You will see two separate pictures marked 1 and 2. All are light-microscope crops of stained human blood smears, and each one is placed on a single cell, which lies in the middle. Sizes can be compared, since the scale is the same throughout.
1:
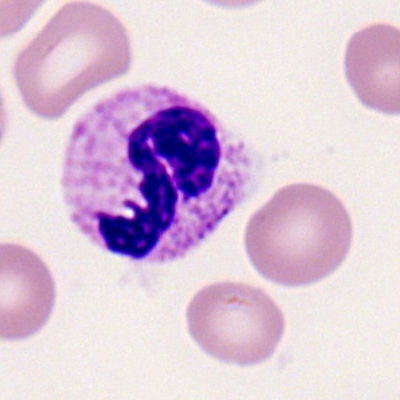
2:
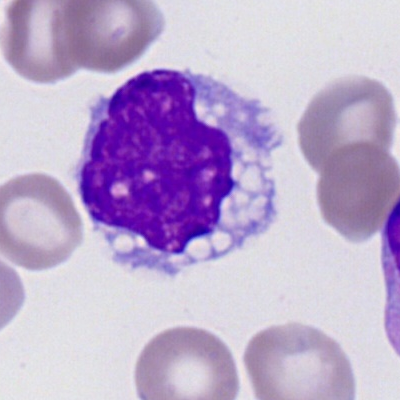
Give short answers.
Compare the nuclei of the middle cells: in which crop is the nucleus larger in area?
2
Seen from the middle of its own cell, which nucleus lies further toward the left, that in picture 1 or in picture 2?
2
